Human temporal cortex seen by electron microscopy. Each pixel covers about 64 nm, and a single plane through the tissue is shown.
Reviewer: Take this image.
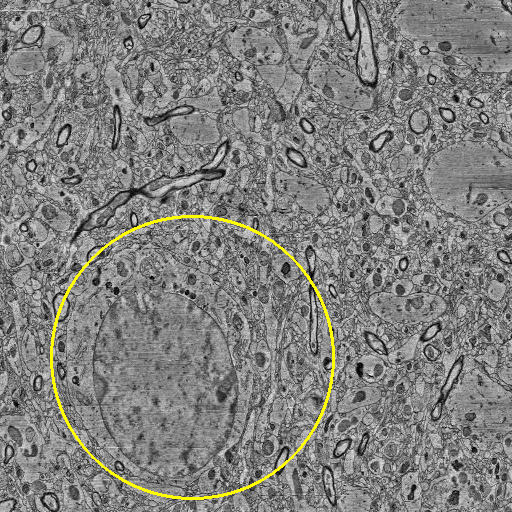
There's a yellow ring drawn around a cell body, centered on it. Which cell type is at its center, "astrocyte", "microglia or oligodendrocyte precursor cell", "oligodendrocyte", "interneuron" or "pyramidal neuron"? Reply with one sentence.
At the center of the yellow ring is an interneuron.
